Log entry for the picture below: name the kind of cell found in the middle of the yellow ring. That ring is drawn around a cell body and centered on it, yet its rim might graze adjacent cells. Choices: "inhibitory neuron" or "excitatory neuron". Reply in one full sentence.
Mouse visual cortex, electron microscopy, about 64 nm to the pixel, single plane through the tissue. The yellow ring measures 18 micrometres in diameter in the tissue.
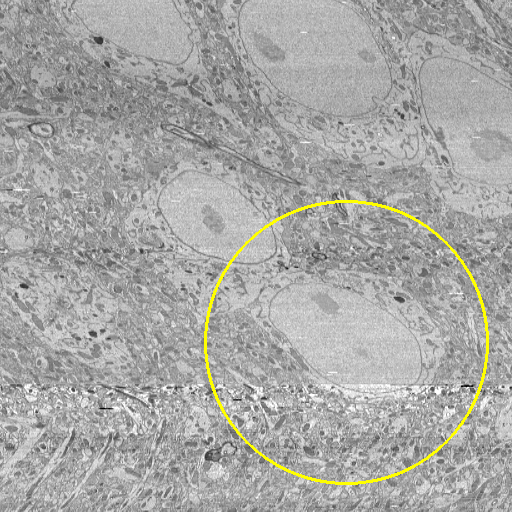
The cell in the middle of the yellow ring in this picture is an excitatory neuron.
